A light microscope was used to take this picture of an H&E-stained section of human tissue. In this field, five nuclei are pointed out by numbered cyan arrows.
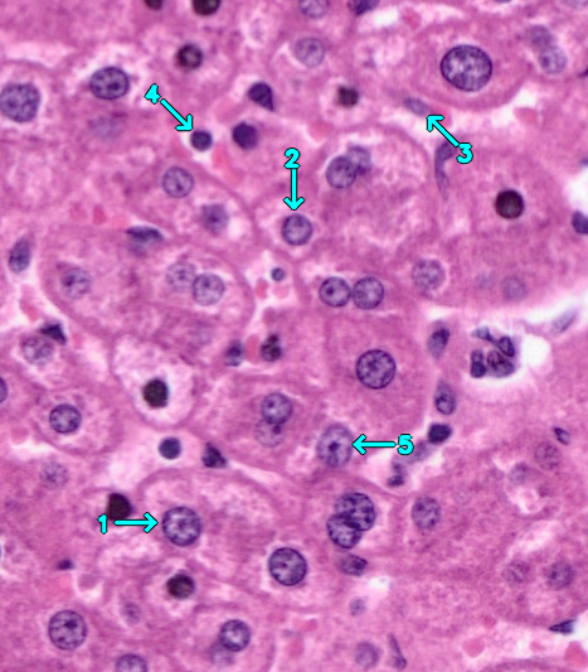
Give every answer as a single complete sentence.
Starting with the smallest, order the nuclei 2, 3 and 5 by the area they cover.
From smallest to largest, the order is 3, 2, 5.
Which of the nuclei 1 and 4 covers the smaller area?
The smaller nucleus is 4, and 1 covers roughly 3 times its area.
